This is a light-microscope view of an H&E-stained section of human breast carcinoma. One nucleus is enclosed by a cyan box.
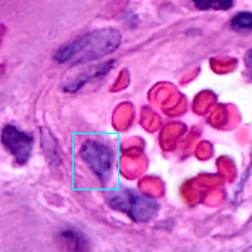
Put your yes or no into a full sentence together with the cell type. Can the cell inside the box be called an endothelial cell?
Yes, the cell inside the box represents an endothelial cell in this tissue.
